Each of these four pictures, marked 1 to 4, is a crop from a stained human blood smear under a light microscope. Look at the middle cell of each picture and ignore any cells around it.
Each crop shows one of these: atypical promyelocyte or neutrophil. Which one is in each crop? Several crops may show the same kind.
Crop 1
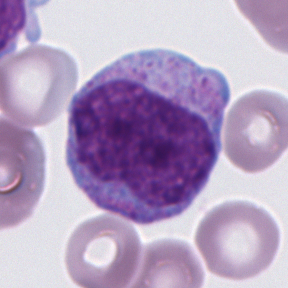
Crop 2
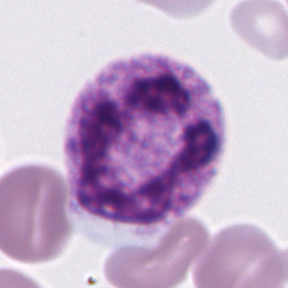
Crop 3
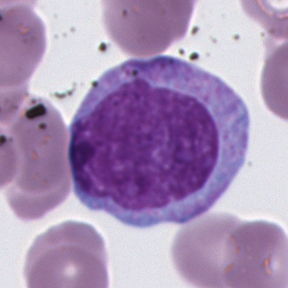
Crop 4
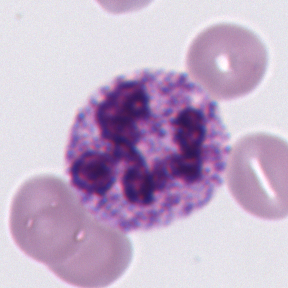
1: atypical promyelocyte
2: neutrophil
3: atypical promyelocyte
4: neutrophil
